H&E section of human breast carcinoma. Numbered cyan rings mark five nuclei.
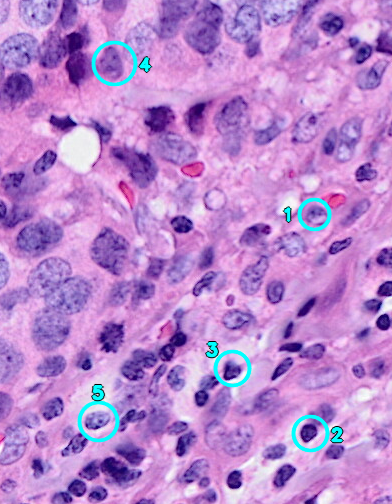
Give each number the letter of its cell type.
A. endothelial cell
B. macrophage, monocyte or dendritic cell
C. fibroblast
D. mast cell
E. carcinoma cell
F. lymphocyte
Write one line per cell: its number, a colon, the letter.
1: A
2: F
3: F
4: E
5: F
